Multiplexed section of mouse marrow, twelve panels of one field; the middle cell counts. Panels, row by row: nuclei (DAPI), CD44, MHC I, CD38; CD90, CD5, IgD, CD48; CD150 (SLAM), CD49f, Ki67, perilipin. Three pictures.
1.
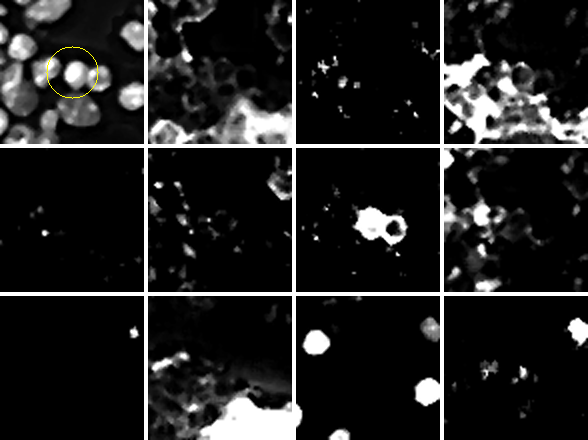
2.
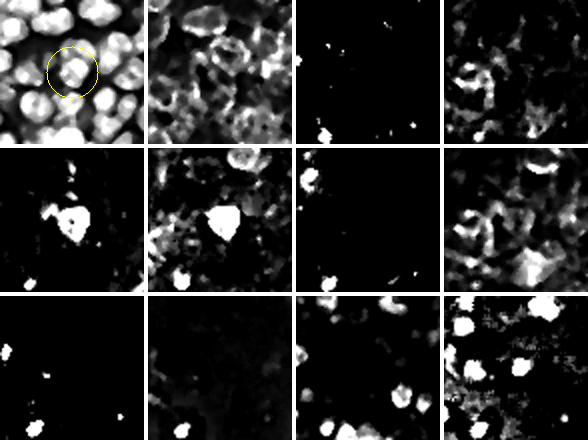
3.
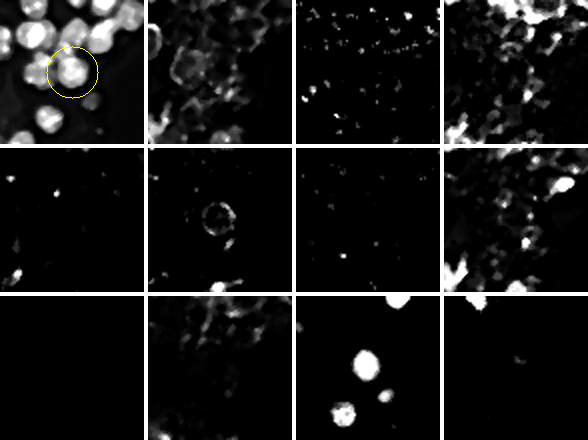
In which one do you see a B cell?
In picture 1.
